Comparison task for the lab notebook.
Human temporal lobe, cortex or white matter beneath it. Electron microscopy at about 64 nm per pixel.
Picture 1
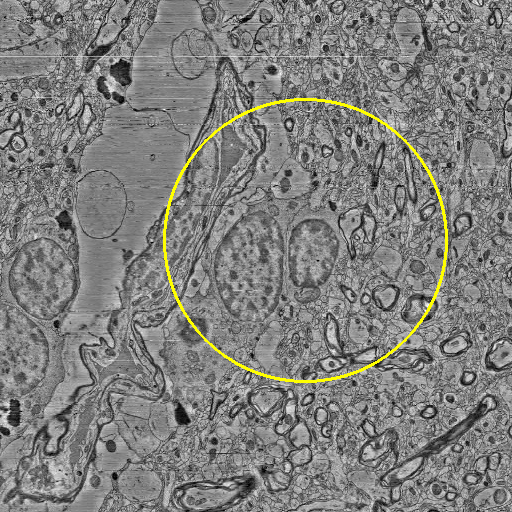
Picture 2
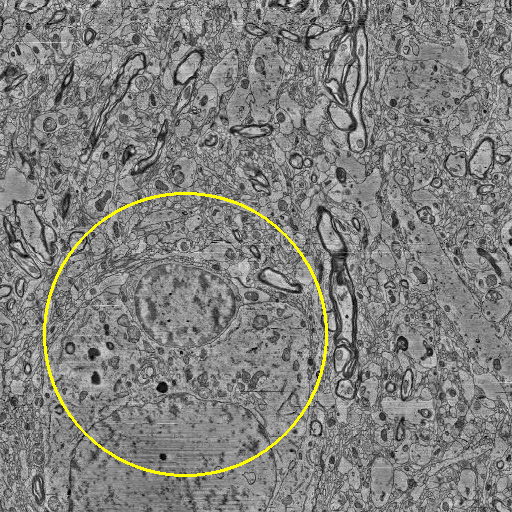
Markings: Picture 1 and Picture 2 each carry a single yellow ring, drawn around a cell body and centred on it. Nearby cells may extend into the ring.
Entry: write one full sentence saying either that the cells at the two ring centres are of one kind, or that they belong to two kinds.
The cells sitting at the ring centres in Picture 1 and Picture 2 are of one kind.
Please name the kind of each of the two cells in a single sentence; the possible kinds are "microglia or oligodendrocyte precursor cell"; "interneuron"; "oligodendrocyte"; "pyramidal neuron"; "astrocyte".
Each cell at the centre of a ring is an oligodendrocyte.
